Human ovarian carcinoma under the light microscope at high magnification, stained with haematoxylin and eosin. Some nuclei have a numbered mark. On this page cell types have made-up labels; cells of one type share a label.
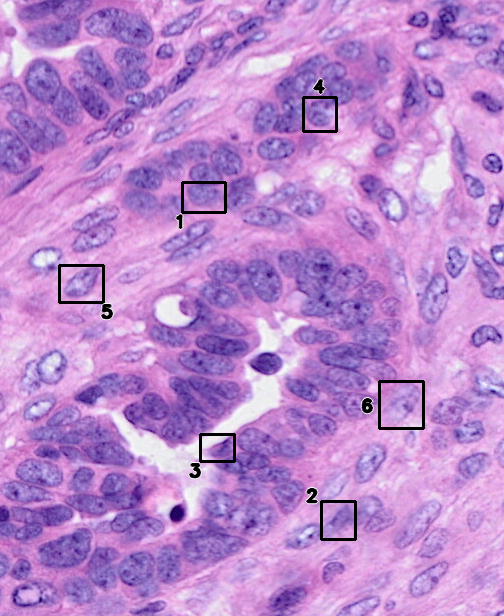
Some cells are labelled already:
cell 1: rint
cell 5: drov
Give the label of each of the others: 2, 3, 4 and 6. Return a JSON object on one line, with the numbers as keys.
{"2": "drov", "3": "rint", "4": "rint", "6": "drov"}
